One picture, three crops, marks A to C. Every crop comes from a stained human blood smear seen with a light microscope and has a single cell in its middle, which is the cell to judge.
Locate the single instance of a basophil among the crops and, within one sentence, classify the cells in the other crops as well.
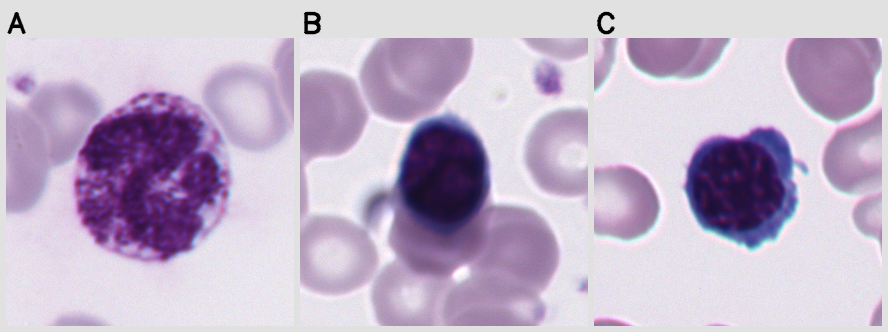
Crop A is the one showing a basophil, whereas crop B is a lymphocyte and crop C is an erythroblast.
